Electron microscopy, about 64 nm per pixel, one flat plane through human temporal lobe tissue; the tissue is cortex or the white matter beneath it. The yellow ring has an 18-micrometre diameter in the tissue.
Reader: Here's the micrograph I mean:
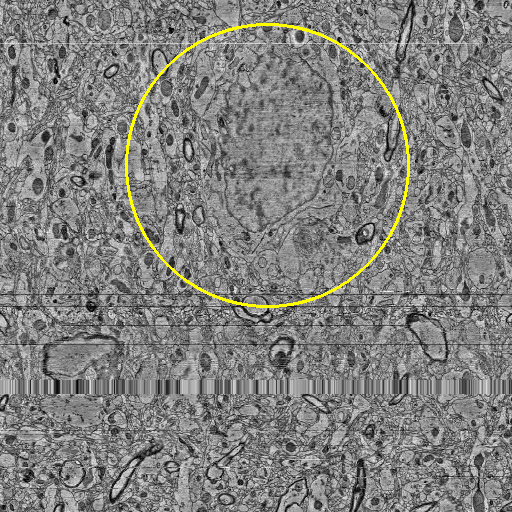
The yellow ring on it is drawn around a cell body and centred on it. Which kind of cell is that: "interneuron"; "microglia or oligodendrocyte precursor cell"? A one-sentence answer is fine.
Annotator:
The ring is centred on an interneuron.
